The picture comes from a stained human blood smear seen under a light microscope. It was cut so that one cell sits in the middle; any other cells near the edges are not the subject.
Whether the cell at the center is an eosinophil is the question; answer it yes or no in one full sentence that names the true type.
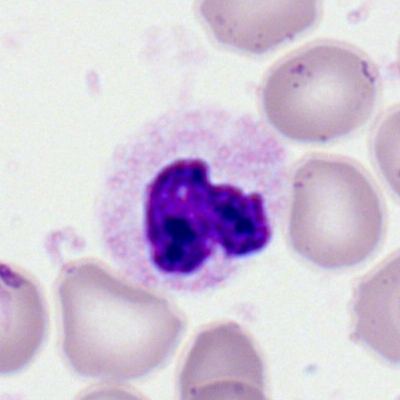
No, what lies at the heart of the crop is a neutrophil, not an eosinophil.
